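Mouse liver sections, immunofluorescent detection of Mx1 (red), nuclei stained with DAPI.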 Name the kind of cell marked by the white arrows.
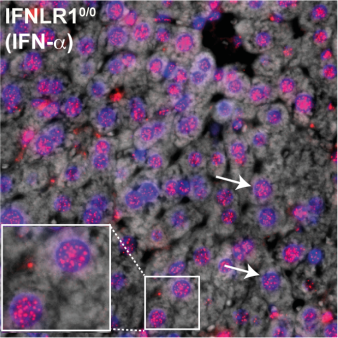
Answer: hepatocytes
